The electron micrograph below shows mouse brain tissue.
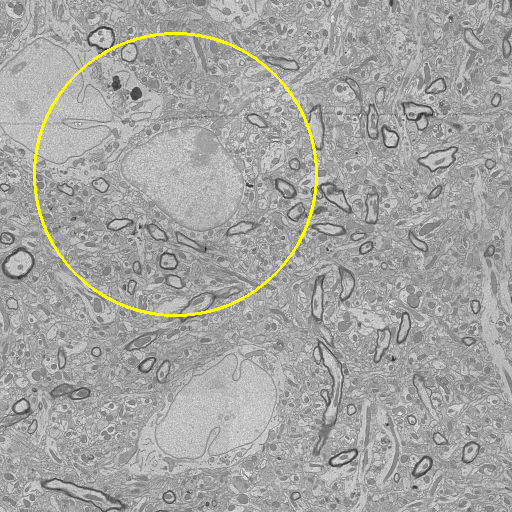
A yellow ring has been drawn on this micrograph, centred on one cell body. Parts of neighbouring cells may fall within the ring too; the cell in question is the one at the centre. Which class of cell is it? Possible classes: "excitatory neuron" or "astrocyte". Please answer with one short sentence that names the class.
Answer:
In the centre of the ring sits an astrocyte.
